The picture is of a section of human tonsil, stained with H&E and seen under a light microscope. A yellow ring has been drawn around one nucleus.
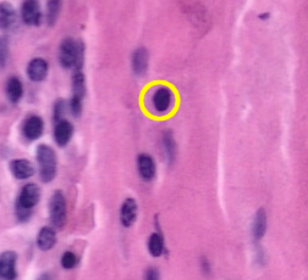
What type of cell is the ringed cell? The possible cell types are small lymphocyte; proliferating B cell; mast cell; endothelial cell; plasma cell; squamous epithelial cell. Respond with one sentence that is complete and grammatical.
In the context of this tissue, the ringed cell is a mast cell.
